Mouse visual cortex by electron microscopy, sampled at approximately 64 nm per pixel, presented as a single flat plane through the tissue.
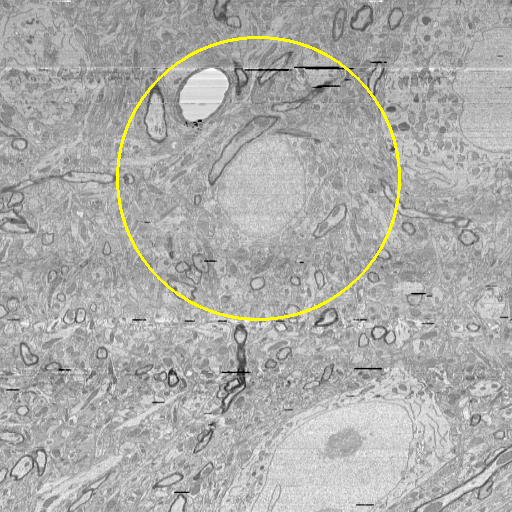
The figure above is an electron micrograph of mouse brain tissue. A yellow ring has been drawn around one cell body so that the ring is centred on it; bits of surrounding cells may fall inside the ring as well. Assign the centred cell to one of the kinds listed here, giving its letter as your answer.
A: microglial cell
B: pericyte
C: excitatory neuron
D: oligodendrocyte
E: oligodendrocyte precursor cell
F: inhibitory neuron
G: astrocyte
G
